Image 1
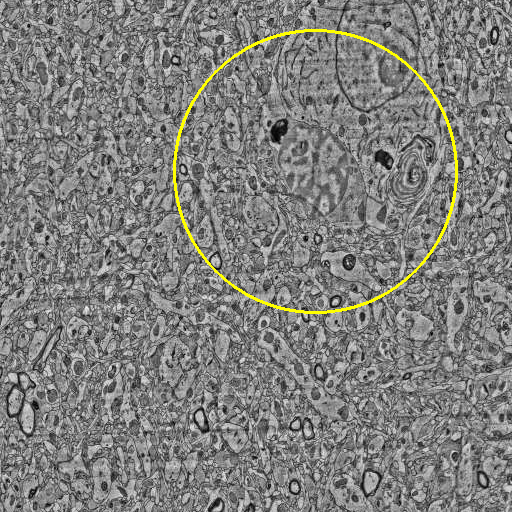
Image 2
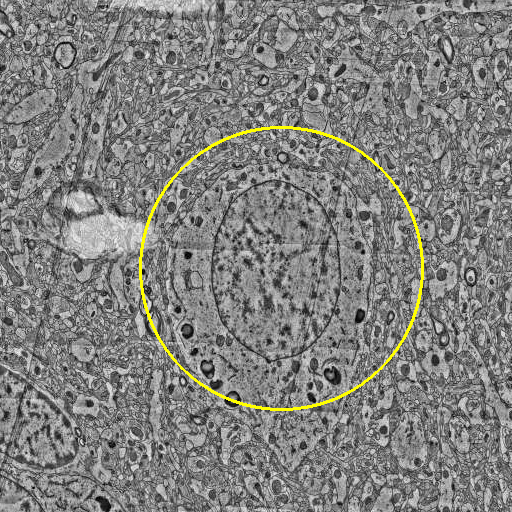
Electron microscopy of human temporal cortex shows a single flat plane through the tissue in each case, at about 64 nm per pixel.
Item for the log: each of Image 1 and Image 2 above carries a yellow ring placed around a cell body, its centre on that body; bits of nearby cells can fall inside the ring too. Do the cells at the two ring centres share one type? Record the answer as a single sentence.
No, the two cells at the ring centres in Image 1 and Image 2 are of two types.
